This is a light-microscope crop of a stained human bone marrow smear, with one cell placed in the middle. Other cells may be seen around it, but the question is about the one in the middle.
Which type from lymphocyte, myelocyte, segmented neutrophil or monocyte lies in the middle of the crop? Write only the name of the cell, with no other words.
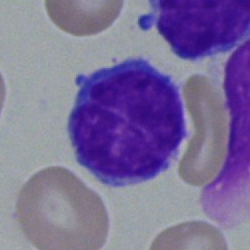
lymphocyte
